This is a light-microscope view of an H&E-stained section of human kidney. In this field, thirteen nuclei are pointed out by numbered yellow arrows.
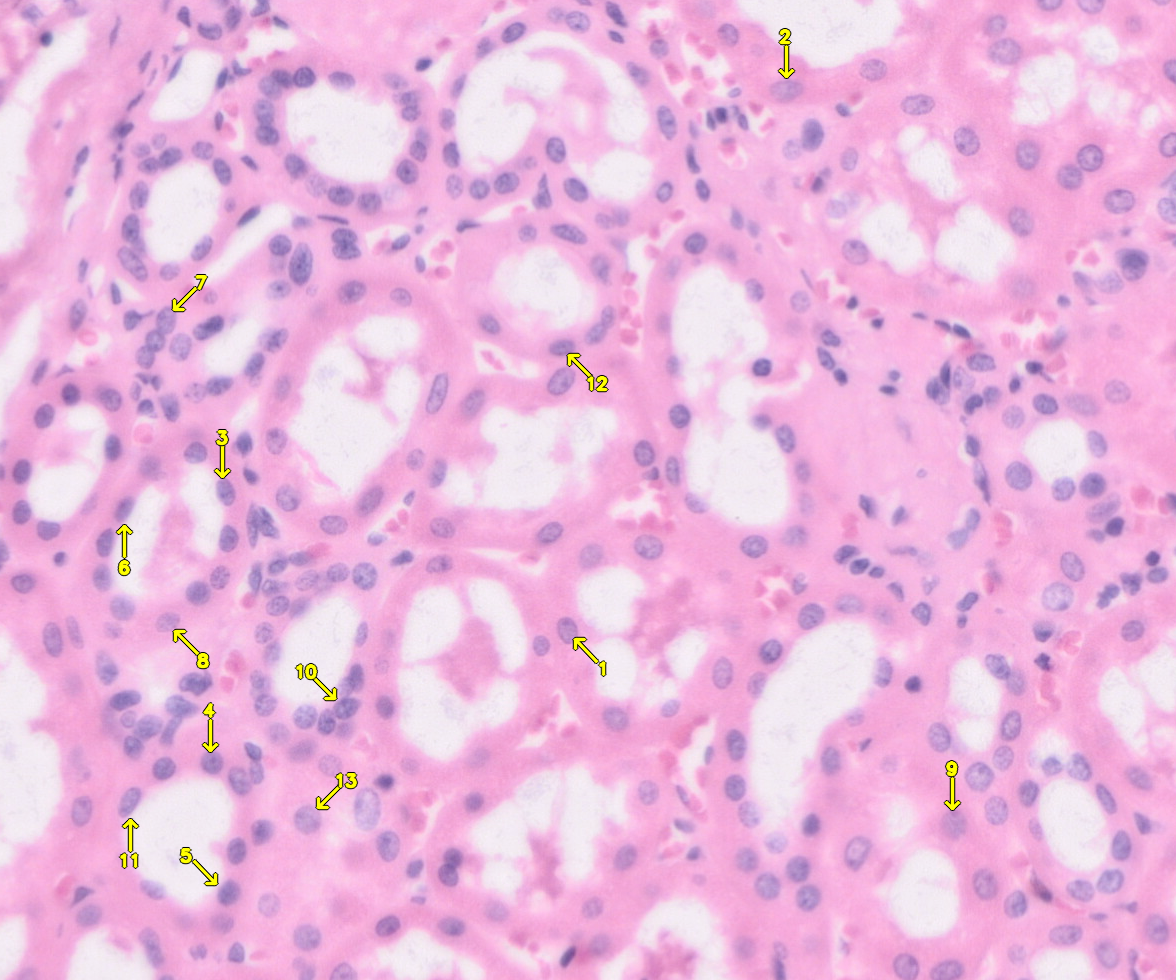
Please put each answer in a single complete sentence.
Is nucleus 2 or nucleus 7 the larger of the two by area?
Nucleus 2 is larger, with an area about 1.5 times that of nucleus 7.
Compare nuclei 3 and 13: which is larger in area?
Number 13 is larger; its area is about 1.5 times that of number 3.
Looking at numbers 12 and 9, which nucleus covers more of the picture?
Of the two, number 9 is bigger and takes up about 2 times the area of number 12.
